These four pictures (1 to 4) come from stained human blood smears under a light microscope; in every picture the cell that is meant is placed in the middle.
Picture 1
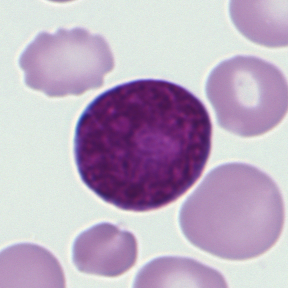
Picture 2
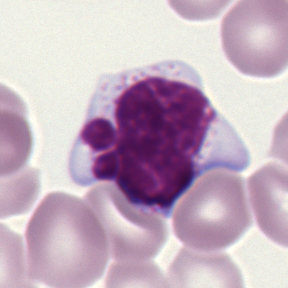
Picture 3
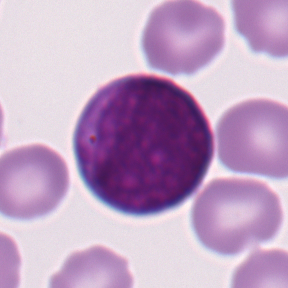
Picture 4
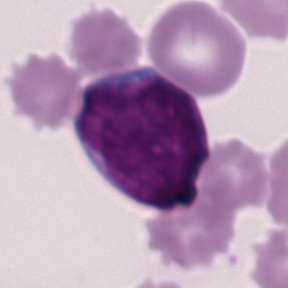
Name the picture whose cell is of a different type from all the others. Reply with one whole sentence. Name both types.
The different one is picture 2; it shows a large granular lymphocyte, whereas all the others show myeloblasts.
